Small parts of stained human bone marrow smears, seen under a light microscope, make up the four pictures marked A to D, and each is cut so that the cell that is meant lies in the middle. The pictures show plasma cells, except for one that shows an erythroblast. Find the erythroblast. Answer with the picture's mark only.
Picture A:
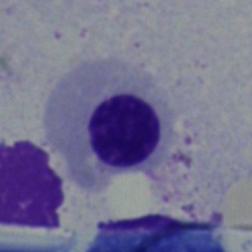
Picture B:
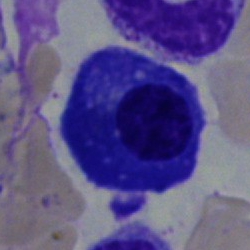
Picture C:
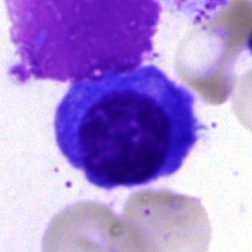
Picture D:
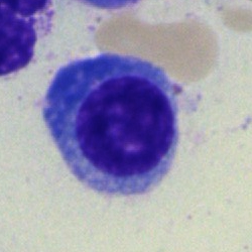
A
